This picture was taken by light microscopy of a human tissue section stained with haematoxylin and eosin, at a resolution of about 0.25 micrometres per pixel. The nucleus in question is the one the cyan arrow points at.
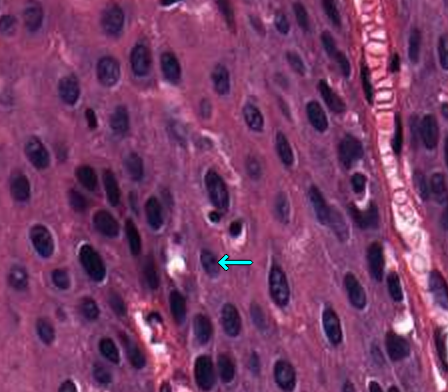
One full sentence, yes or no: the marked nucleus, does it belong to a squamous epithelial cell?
Yes, the nucleus indicated by the marking belongs to a squamous epithelial cell.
